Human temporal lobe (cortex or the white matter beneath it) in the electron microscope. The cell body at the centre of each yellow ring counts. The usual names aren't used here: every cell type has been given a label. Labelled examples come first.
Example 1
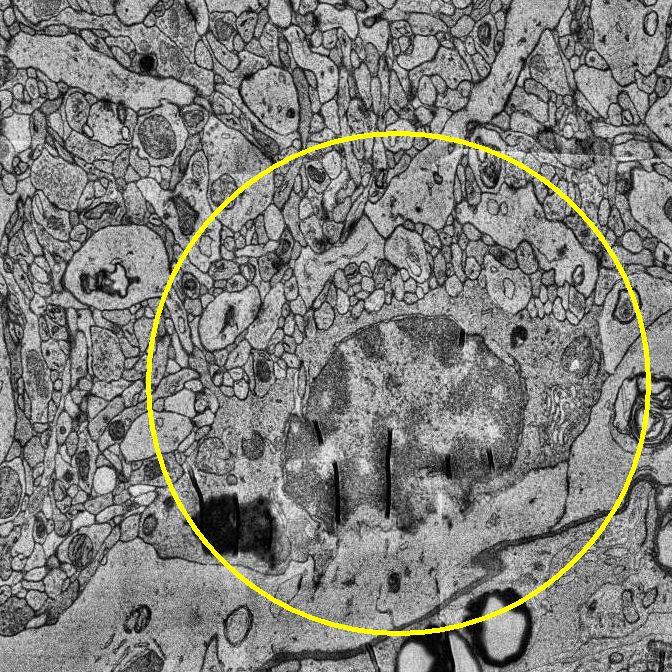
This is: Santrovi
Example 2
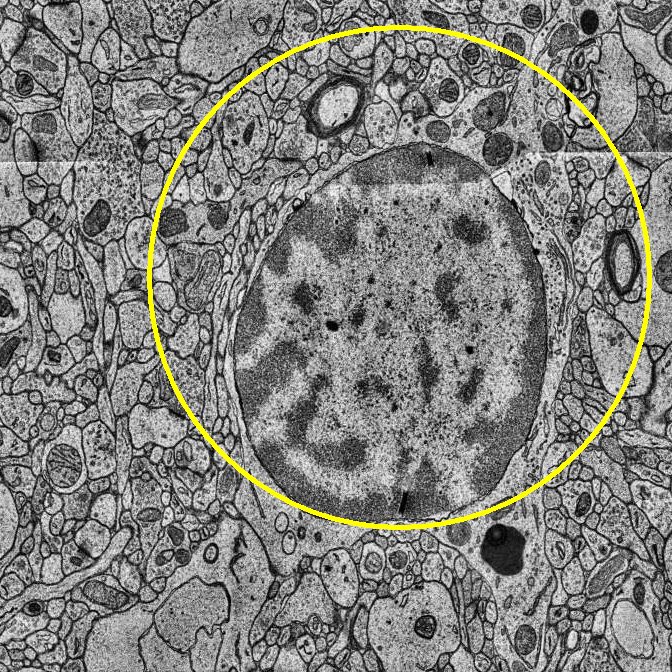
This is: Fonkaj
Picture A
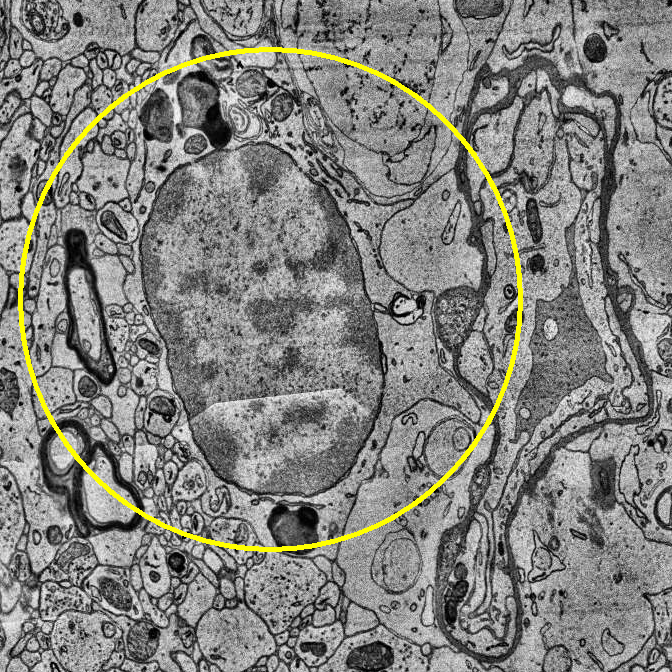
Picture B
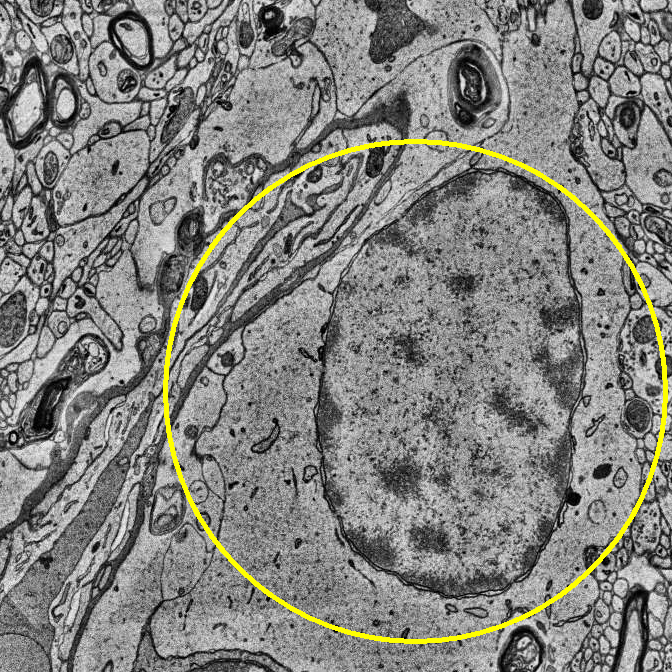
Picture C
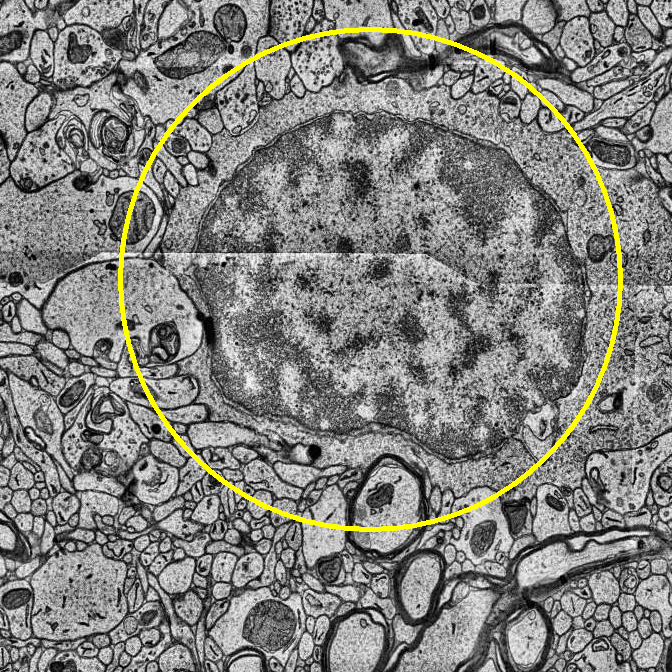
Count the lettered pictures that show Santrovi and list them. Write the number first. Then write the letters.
1: C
